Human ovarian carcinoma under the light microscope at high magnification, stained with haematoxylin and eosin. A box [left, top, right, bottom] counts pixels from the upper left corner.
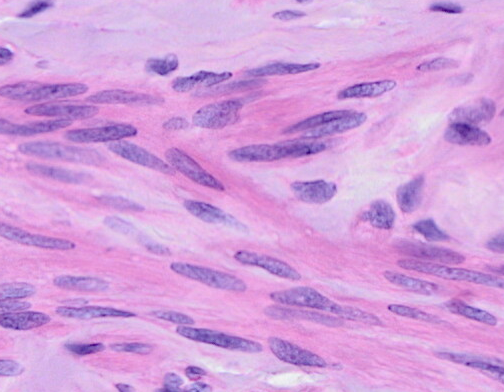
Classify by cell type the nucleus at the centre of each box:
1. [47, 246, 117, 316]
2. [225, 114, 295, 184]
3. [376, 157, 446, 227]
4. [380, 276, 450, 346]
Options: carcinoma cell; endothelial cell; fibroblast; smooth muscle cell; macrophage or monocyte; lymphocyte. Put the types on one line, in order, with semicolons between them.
smooth muscle cell; smooth muscle cell; fibroblast; smooth muscle cell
